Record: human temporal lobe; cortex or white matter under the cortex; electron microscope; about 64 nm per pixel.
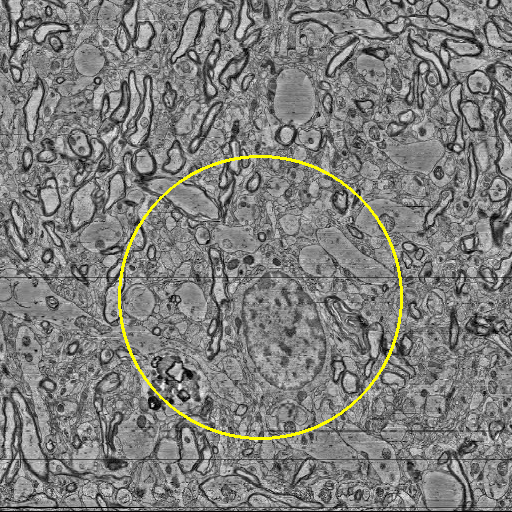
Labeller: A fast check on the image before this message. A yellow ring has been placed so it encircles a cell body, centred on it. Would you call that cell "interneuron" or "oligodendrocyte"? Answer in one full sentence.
In this image, an oligodendrocyte is the cell on which the yellow ring is centred.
